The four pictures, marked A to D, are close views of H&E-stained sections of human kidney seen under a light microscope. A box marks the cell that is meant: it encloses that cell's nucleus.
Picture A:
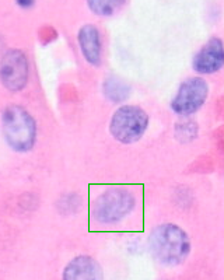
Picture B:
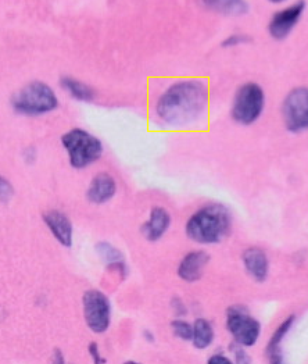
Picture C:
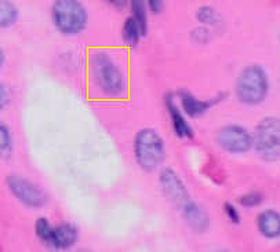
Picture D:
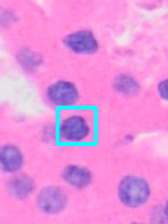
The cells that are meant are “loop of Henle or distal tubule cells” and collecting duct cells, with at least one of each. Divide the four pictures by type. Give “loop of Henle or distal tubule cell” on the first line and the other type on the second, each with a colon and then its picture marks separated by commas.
loop of Henle or distal tubule cell: A, B, D
collecting duct cell: C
